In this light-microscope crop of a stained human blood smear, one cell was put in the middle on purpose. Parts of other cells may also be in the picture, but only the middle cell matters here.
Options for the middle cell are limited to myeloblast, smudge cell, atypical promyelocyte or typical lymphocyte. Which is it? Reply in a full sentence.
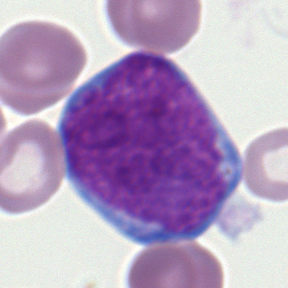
The cell under consideration, at the middle of the crop, is a myeloblast.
